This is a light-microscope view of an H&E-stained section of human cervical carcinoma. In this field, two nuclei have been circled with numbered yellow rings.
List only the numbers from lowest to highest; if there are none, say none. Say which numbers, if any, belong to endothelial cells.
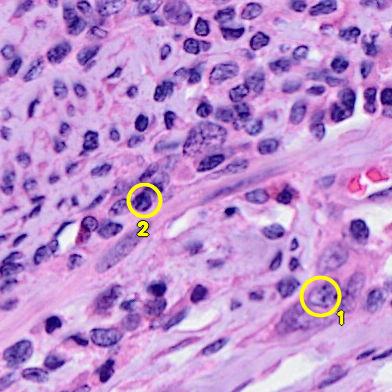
1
